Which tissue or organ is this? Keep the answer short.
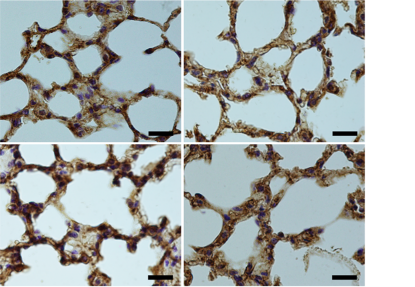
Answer: lung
